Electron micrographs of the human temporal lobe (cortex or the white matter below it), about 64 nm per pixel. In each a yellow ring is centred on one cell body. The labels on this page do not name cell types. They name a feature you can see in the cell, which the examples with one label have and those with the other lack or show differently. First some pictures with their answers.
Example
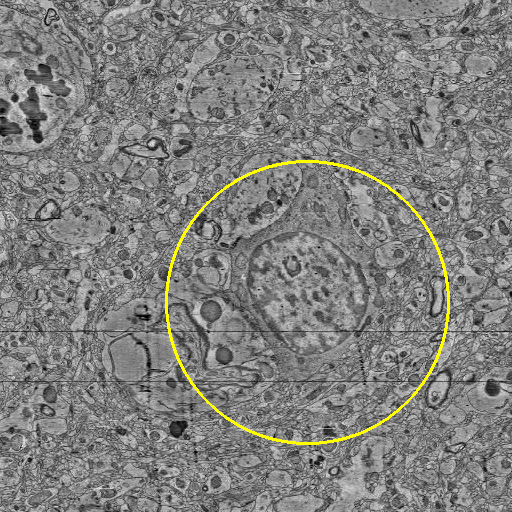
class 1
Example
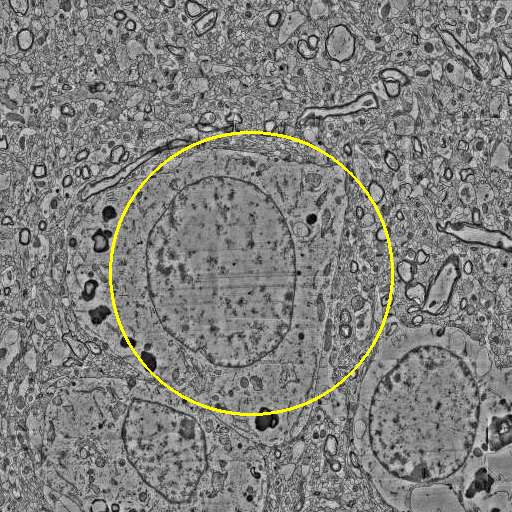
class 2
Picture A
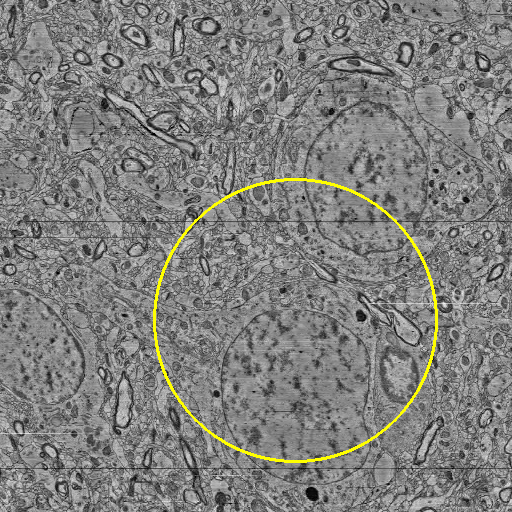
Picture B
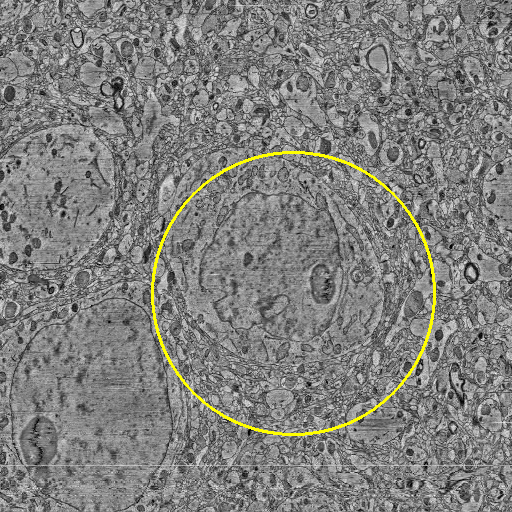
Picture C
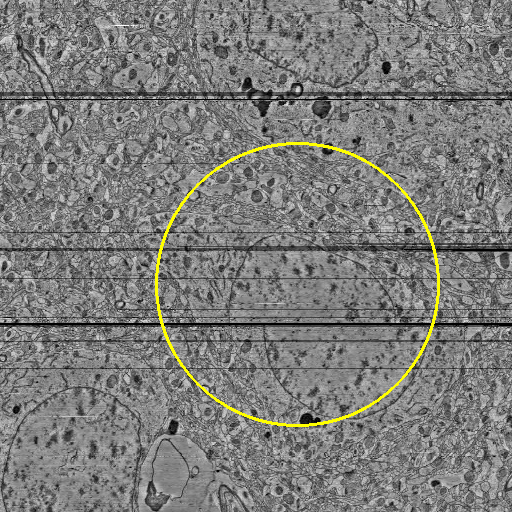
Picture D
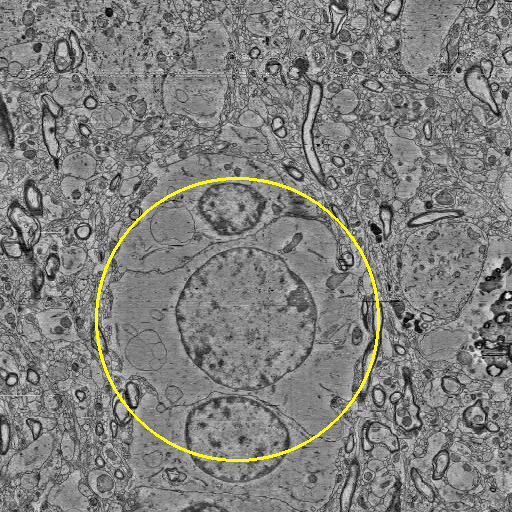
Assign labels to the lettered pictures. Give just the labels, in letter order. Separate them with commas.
class 2, class 1, class 2, class 2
